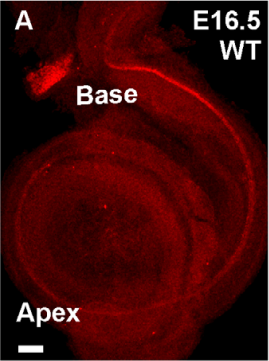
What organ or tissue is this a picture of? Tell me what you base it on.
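A coiled, spiralling epithelial strip runs from one end to the other. A band of red label follows the curve of the spiral.
Hence: cochlea.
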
